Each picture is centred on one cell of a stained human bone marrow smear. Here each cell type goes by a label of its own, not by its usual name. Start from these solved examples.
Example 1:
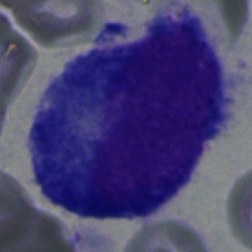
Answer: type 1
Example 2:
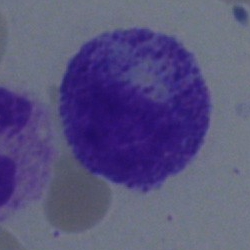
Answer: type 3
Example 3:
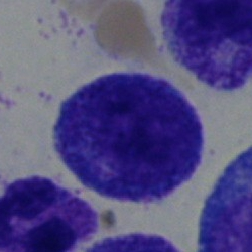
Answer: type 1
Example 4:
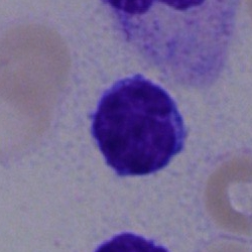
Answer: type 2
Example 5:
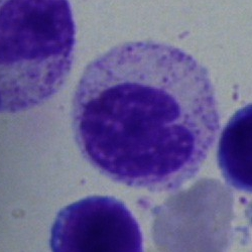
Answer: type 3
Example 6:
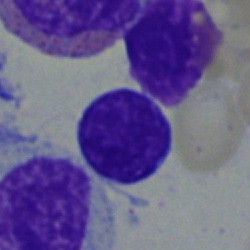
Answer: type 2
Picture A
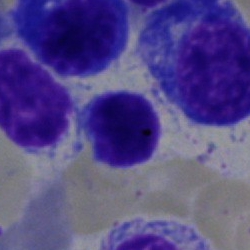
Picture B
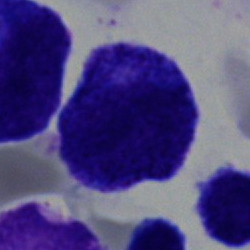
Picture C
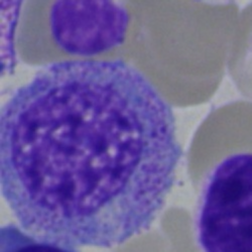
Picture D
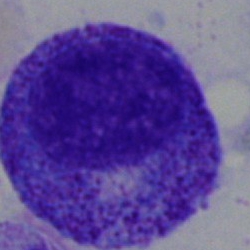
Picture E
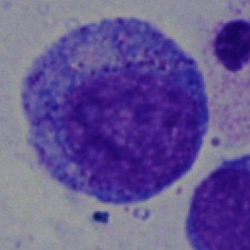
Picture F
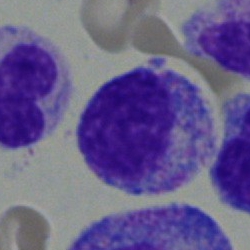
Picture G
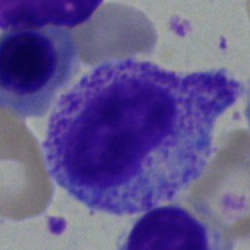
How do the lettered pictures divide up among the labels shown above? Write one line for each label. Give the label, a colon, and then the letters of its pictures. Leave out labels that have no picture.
type 1: B, D, E
type 3: C, F, G
type 2: A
